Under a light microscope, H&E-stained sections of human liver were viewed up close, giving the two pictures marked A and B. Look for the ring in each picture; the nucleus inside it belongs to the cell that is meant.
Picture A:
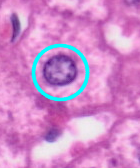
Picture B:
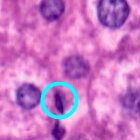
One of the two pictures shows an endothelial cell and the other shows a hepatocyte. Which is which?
A: hepatocyte
B: endothelial cell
